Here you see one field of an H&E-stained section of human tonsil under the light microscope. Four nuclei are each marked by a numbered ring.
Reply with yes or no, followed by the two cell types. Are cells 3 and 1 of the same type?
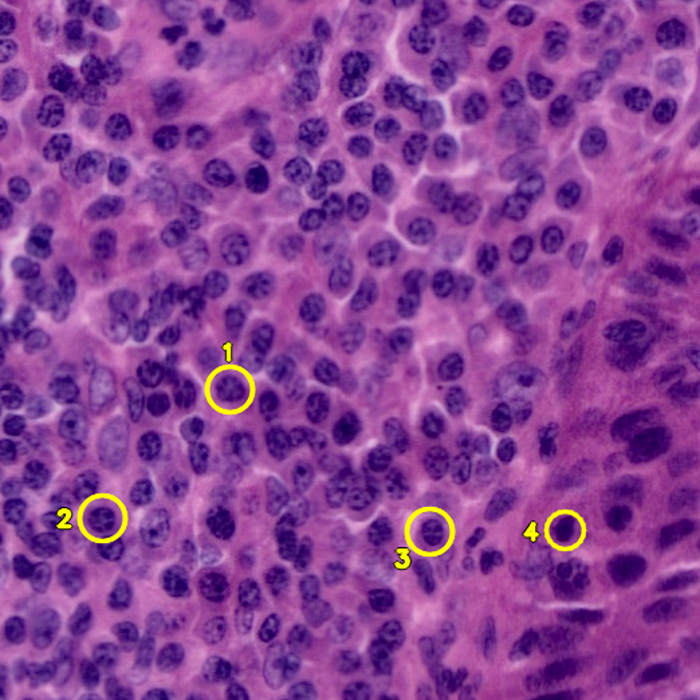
Yes, cells 3 and 1 are both identified as plasma cells.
